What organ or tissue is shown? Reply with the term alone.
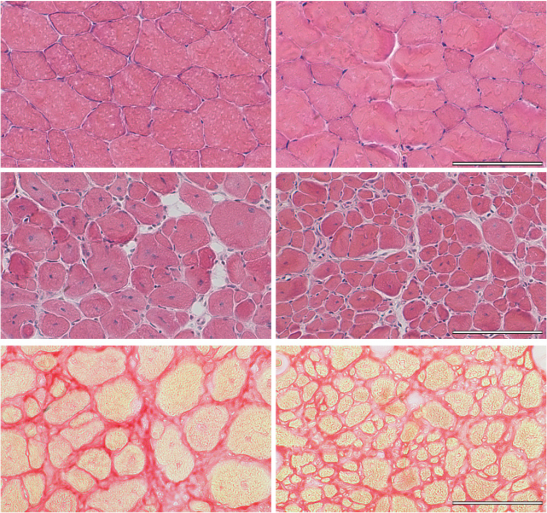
Skeletal muscle.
